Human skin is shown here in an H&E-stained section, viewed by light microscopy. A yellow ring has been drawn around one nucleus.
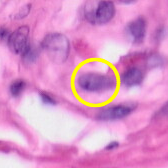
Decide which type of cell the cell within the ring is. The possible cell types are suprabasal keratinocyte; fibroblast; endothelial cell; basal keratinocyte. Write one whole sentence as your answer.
As far as its identity is concerned, the cell within the ring is an endothelial cell.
